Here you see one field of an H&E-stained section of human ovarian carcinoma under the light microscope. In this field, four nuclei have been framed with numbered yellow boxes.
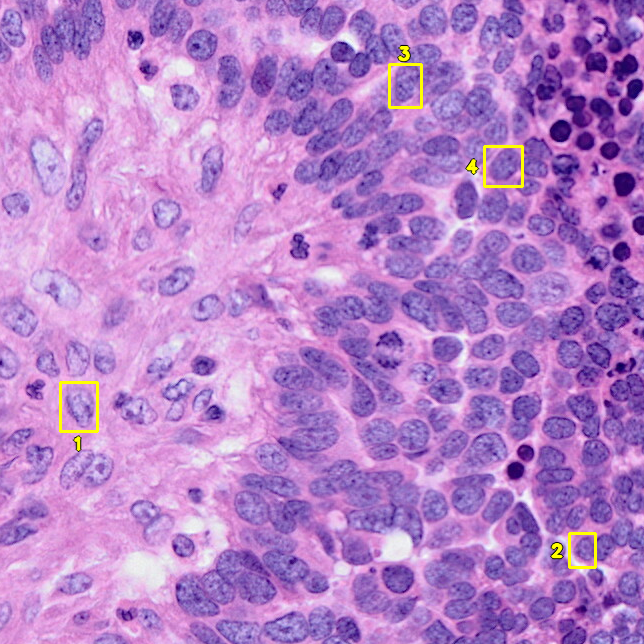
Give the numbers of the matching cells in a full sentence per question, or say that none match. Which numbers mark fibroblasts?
Just one numbered cell is a fibroblast, and that cell is number 1.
